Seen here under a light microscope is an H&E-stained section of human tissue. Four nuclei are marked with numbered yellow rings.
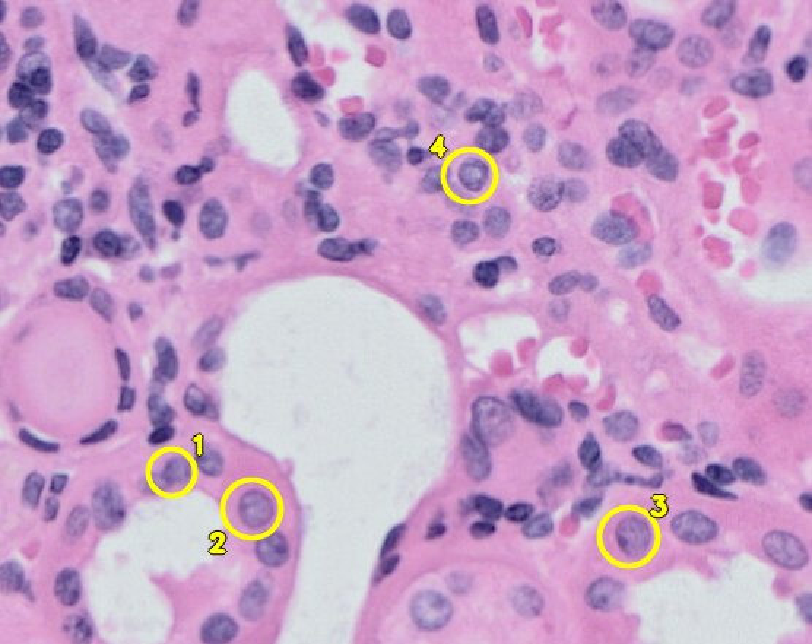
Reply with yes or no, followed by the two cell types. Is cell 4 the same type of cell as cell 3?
No, cell 4 is a collecting duct cell and cell 3 is a proximal tubule cell.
